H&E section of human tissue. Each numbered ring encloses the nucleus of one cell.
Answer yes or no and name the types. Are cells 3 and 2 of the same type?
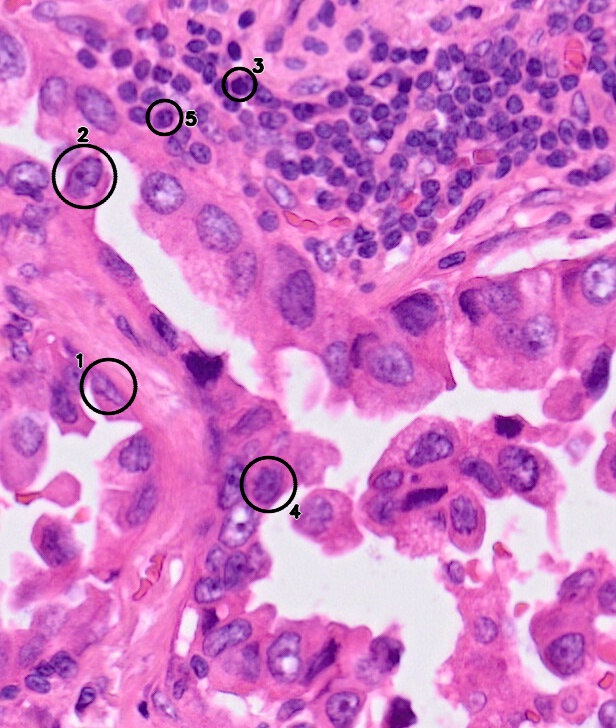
No, cell 3 is a lymphocyte, and in contrast cell 2 is a carcinoma cell.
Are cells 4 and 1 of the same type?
Yes, regarding cells 4 and 1, both are carcinoma cells.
